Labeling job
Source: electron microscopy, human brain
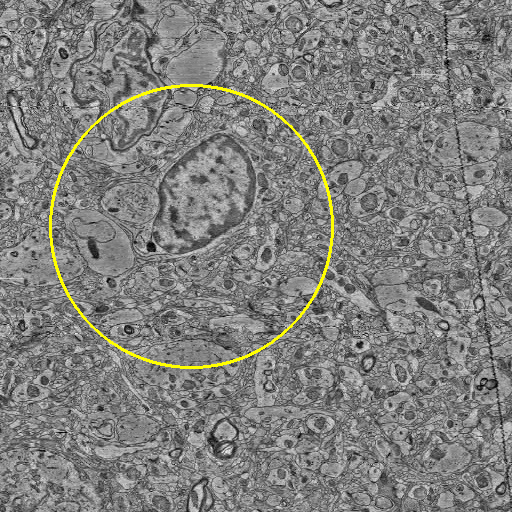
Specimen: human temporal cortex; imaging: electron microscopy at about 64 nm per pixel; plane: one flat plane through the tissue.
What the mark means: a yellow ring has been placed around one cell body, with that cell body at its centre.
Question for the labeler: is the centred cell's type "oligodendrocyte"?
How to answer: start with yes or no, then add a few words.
No, its type is another one.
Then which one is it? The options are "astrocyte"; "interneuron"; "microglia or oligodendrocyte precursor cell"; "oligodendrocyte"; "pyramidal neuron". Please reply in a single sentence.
The cell at the middle of the ring is a microglial cell or oligodendrocyte precursor cell.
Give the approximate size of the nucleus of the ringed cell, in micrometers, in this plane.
About 8 by 6 micrometres in this plane.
